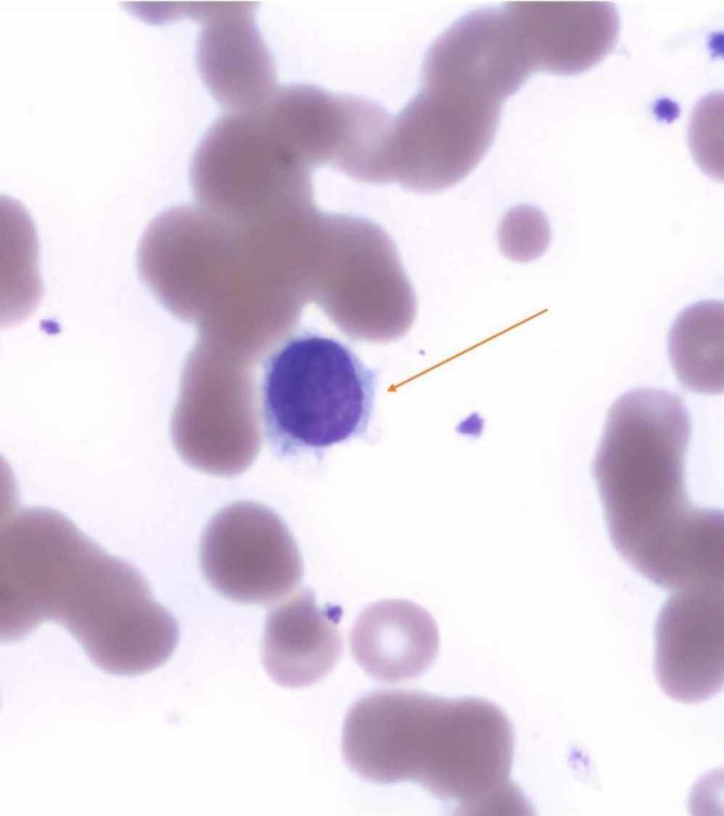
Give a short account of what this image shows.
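Peripheral blood smear with a single leukocyte among red cells, consistent with a hairy cell. The cell is about the size of a red cell or slightly larger. A round, dense purple nucleus occupies most of it. A narrow rim of pale blue cytoplasm carries fine spiky projections around the edge, while the nearby red cells lie in clumps and scattered small platelets are present.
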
